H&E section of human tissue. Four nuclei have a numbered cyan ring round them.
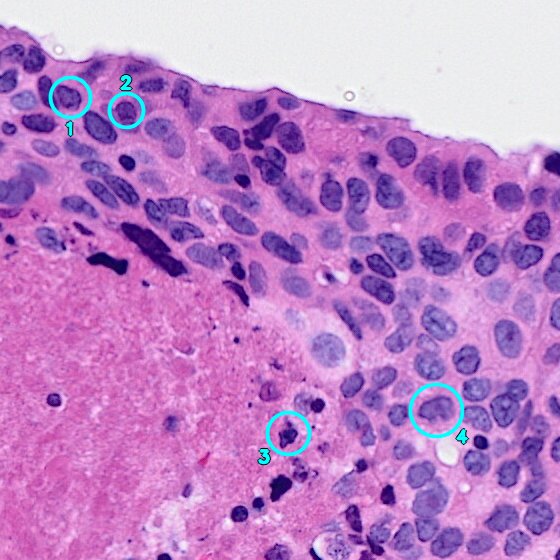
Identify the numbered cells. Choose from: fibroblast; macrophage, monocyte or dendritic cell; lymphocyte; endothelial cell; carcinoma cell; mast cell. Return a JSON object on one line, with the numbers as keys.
{"1": "carcinoma cell", "2": "carcinoma cell", "3": "lymphocyte", "4": "carcinoma cell"}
